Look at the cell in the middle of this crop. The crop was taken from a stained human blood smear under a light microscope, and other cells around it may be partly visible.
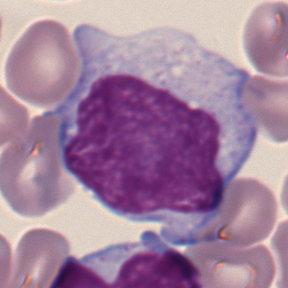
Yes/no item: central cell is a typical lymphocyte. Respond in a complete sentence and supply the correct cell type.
No, what sits in the centre of the crop is a myeloblast rather than a typical lymphocyte.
